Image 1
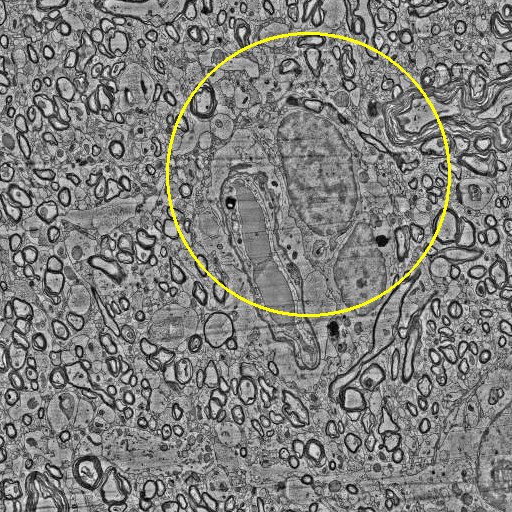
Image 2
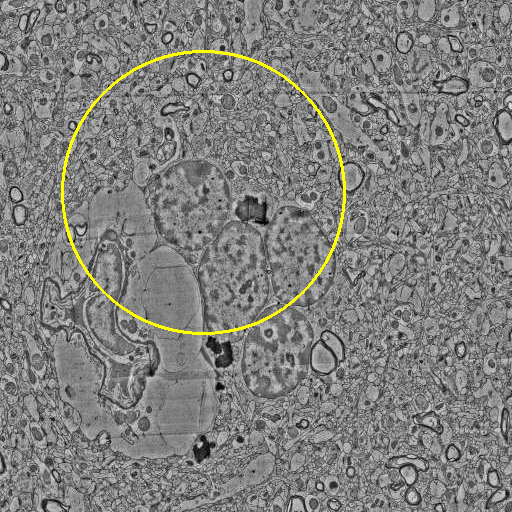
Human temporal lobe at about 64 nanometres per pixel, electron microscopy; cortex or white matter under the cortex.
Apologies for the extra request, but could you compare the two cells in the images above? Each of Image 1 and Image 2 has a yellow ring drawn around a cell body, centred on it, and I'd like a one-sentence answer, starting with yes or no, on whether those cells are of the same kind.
Yes, both cells are of the same kind.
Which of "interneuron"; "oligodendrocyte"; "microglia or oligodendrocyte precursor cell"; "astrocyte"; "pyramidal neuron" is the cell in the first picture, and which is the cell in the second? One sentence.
The second cell is an oligodendrocyte, just as the first is.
